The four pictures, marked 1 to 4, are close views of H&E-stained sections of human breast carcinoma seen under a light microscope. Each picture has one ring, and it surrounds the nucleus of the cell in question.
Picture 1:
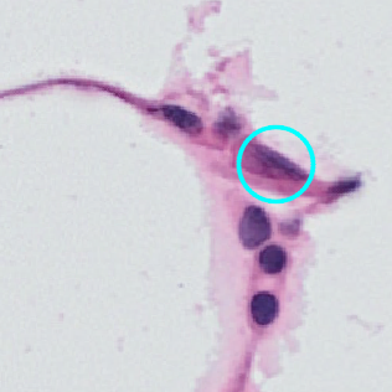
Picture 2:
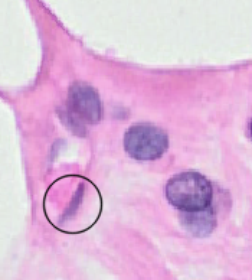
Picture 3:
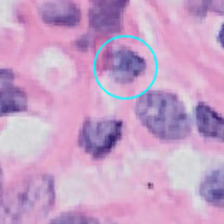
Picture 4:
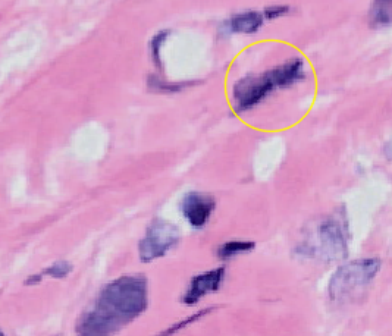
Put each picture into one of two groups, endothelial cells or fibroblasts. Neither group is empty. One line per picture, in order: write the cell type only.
endothelial cell
endothelial cell
endothelial cell
fibroblast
